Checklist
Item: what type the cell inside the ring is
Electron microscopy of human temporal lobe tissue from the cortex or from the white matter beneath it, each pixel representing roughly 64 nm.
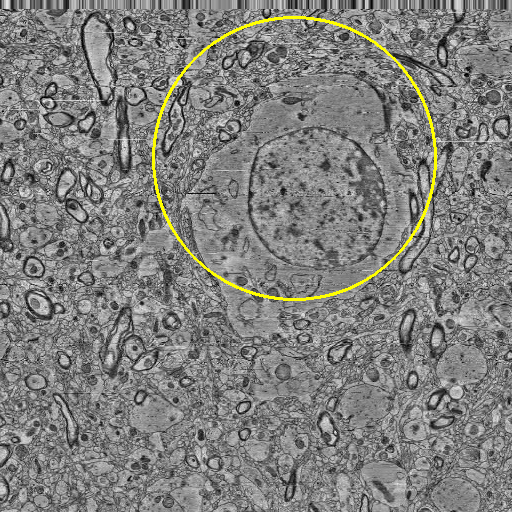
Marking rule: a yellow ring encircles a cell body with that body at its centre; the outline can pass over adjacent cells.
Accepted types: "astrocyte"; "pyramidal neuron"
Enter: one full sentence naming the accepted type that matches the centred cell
The entry is that an astrocyte lies at the centre of the yellow ring.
